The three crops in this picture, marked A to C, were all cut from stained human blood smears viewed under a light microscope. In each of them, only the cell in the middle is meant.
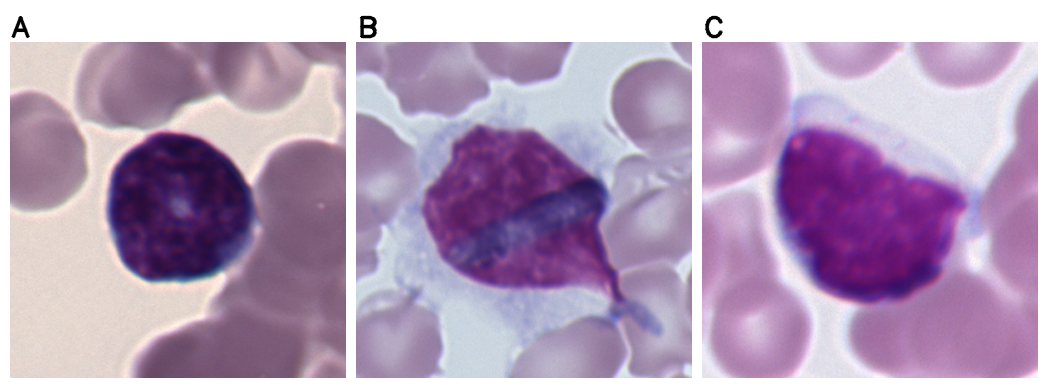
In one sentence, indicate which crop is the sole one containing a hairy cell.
The one crop that shows a hairy cell is crop B.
